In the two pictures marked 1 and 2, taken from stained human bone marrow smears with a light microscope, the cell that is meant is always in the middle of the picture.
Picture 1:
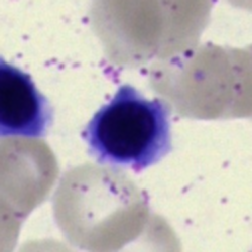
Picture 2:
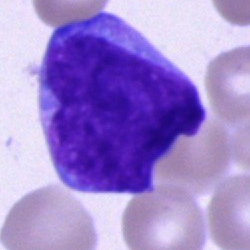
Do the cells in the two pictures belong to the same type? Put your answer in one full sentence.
No, picture 1 shows an erythroblast and picture 2 shows a blast.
